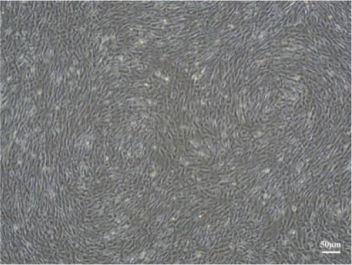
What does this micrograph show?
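Nearly every cell is slender and spindle-shaped, tapering at both ends like fibroblasts, with little space left between neighbours. Rather than lying at random, the cells line up side by side in long parallel streams, and these streams bend and curve so that across the field they form swirling, whorl-like patterns. The layer looks even and uniform from one side to the other, with only a few brighter, rounder cells scattered here and there.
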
